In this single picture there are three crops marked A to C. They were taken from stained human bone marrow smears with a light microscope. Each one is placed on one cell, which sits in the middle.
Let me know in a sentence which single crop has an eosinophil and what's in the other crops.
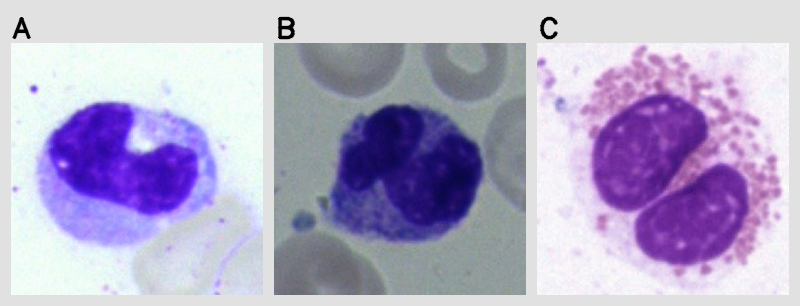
Identified in crop C is an eosinophil, whereas crop A is a band neutrophil and crop B is a monocyte.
